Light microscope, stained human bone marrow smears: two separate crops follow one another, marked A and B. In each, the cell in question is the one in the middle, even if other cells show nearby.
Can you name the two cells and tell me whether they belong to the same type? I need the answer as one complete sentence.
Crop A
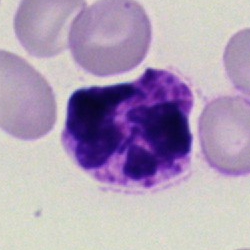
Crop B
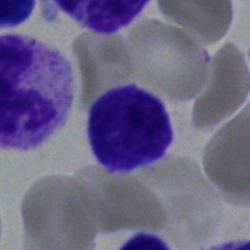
No, whereas crop A shows a basophil, crop B shows a lymphocyte.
